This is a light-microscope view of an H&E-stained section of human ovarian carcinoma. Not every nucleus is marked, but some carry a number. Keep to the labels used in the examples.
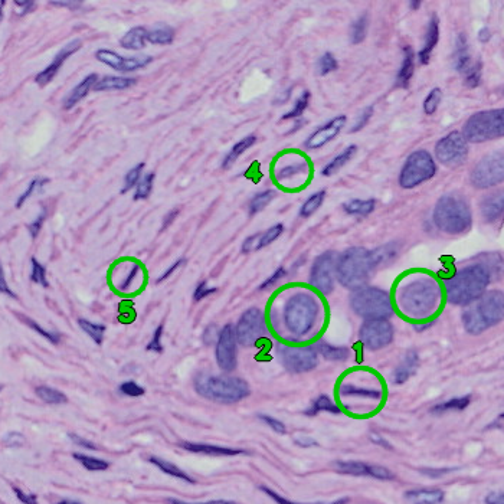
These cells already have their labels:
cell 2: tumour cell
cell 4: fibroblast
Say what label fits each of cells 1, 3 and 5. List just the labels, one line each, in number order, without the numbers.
fibroblast
tumour cell
fibroblast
